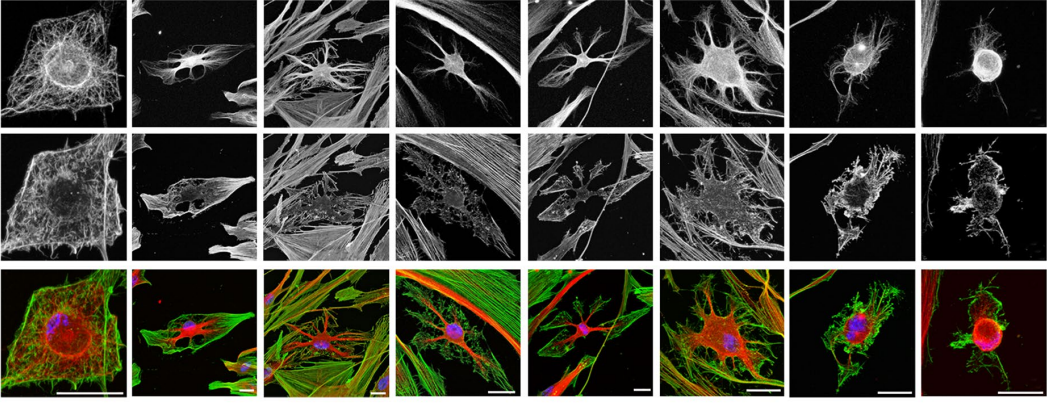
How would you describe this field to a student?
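Fluorescence images show single cultured cells in a series of shapes, from a broad, flat cell through star-shaped cells with branching processes to compact, rounded cells. In the merged images the blue nucleus sits centrally, with red signal concentrated in the cell body around it. The green signal lies mainly at the cell periphery and in the processes and fringes rather than around the nucleus. Neighbouring flat cells show long parallel green and red fibres.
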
